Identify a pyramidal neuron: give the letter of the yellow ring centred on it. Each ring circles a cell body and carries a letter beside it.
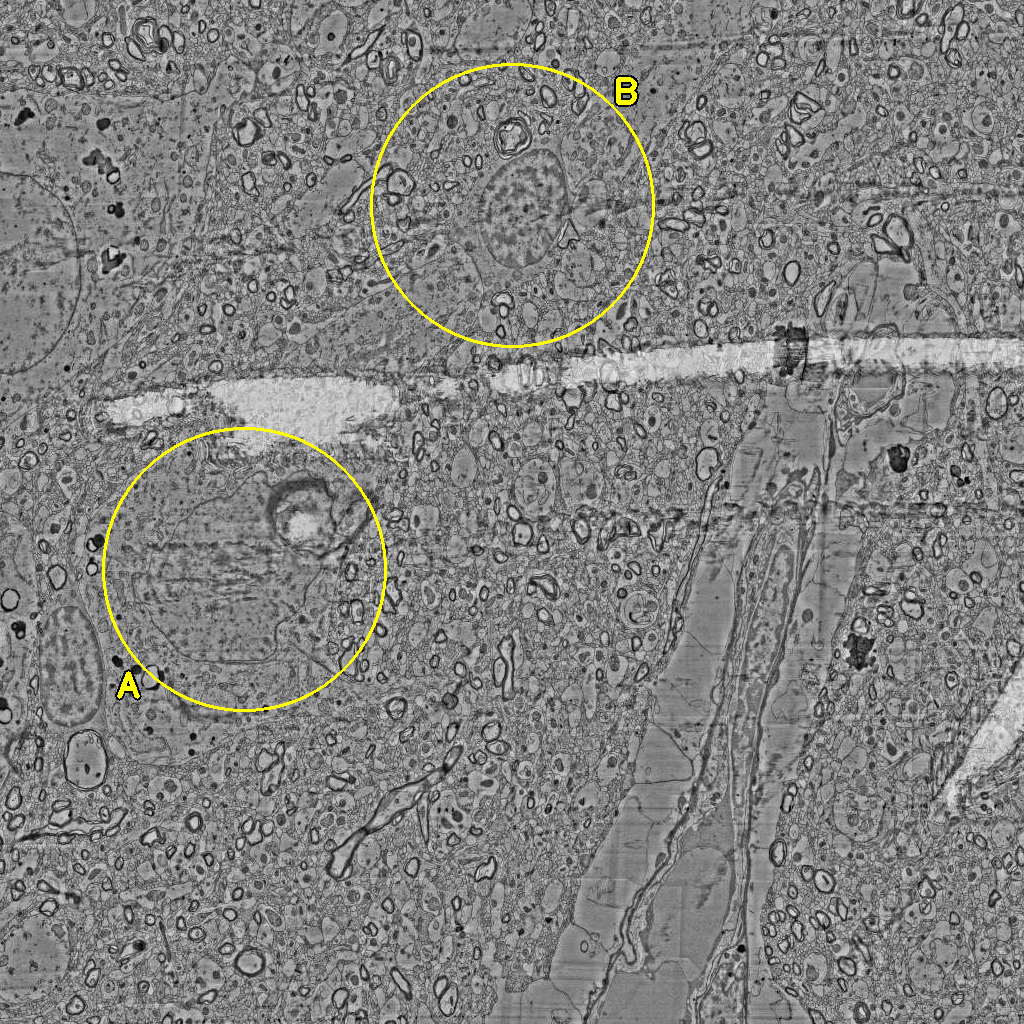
A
